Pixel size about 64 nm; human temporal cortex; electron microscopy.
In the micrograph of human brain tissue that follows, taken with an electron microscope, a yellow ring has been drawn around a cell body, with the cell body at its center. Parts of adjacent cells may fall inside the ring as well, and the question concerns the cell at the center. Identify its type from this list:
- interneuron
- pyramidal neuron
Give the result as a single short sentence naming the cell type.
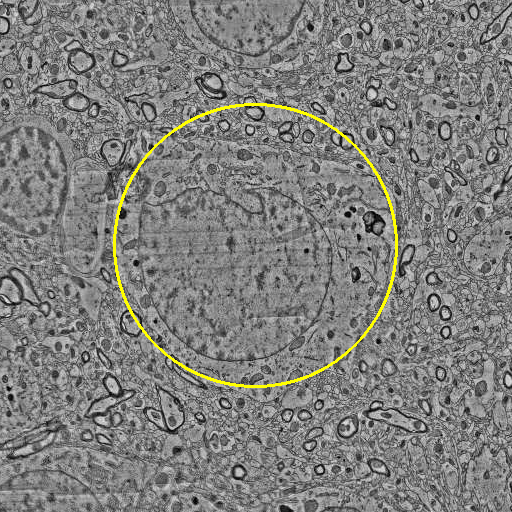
The ring is centered on a pyramidal neuron.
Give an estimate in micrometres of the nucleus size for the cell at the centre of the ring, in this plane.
The nucleus comes to roughly 12 micrometres across in this plane.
